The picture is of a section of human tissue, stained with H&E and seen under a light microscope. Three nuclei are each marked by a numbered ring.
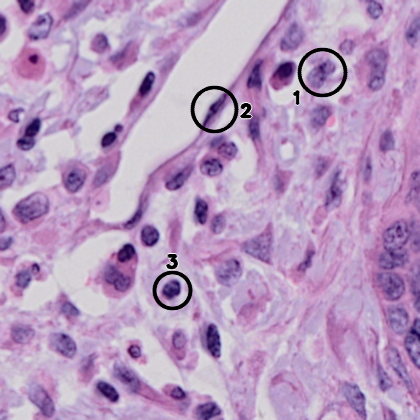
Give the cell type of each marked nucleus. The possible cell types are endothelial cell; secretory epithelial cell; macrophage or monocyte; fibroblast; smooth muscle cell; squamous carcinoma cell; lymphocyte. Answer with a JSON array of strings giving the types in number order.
["macrophage or monocyte", "endothelial cell", "lymphocyte"]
